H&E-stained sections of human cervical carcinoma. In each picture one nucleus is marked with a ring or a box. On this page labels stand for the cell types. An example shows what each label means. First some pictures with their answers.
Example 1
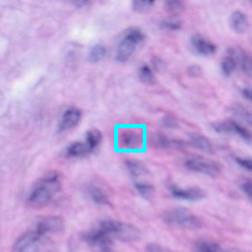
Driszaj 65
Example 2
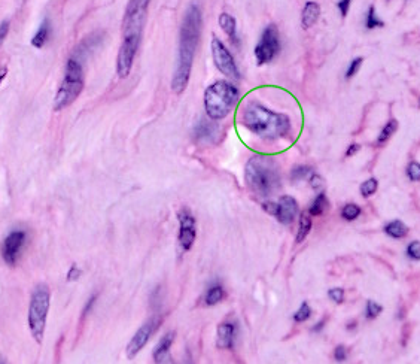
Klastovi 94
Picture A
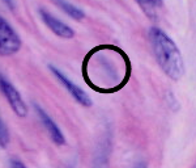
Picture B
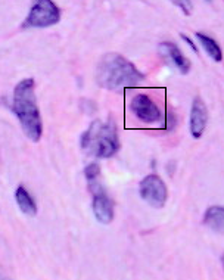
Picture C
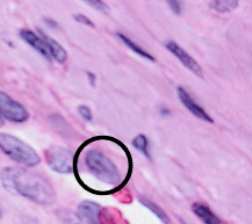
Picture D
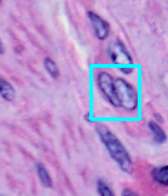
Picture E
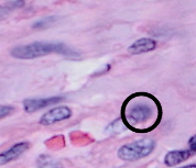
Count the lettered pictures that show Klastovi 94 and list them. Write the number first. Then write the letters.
4, namely B, C, D, E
